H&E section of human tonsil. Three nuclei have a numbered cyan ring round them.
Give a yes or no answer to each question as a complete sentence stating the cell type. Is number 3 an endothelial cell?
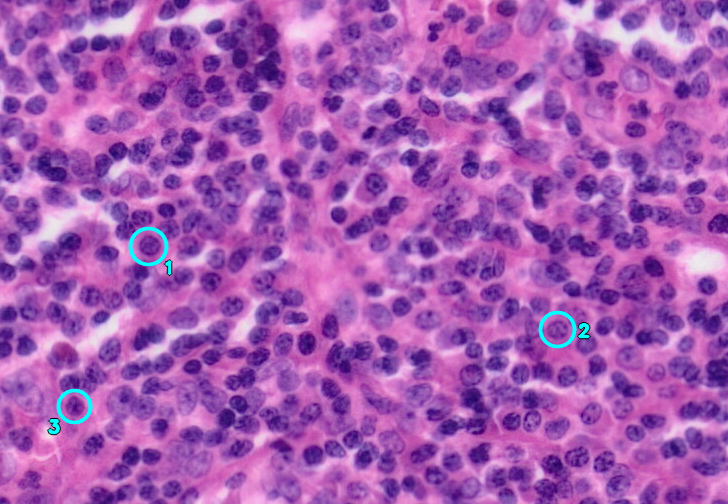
Yes, the cell bearing the number 3 is an endothelial cell.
